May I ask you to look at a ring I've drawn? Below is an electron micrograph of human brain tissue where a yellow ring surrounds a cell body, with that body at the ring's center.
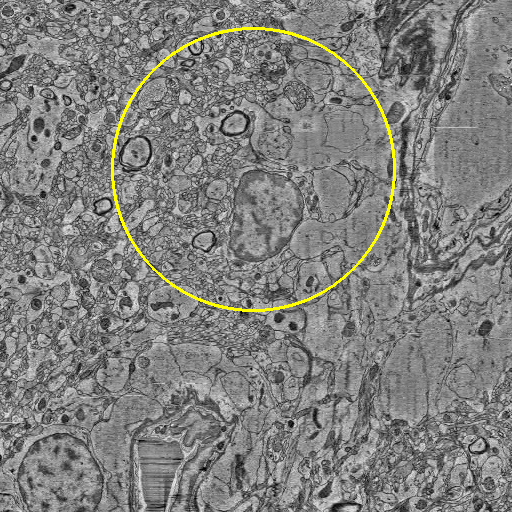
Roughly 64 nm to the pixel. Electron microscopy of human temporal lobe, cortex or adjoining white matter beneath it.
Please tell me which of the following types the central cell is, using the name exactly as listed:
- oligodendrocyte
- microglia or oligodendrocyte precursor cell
microglia or oligodendrocyte precursor cell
